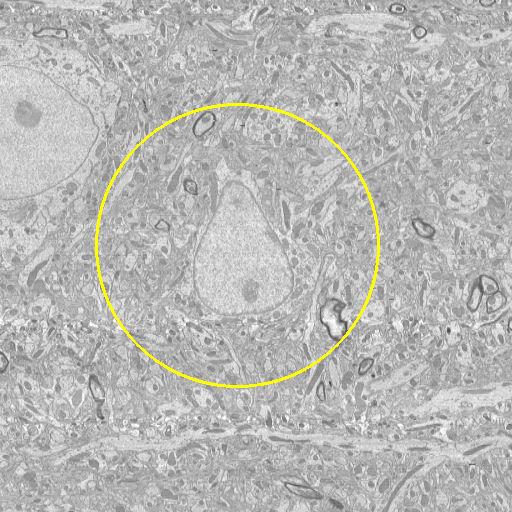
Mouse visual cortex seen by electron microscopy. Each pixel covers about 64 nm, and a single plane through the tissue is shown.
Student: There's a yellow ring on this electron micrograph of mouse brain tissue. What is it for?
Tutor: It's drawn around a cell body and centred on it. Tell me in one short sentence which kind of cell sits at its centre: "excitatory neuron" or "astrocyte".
The cell at the centre of the ring is an astrocyte.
